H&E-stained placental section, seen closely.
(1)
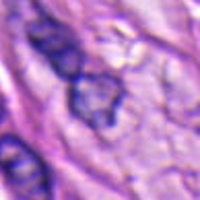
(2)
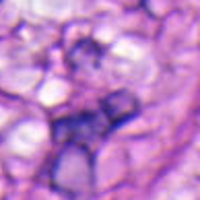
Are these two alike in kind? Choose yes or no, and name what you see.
No. First a cytotrophoblast, second a vascular myocyte.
